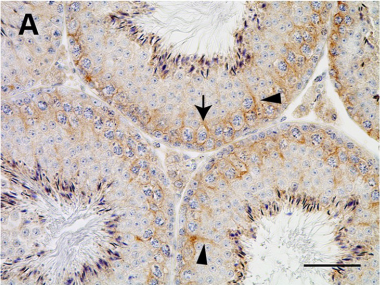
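Several cross-sectioned seminiferous tubules are packed together, each lined by a thick stratified epithelium around a lumen filled with tails and dark elongated heads. Brown stain is spread through the epithelium, both around large round cells with big pale round nuclei sitting a little above the tubule wall and as slender streaks running from the base up toward the lumen. These streaky columns between the germ cells fit the supporting cells that span the epithelium, while the large round cells are spermatocytes. Closer to the lumen, smaller round cells are paler, and clusters of dark elongated heads lie embedded at the luminal edge. Thin walls and narrow interstitial gaps separate the tubules.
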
